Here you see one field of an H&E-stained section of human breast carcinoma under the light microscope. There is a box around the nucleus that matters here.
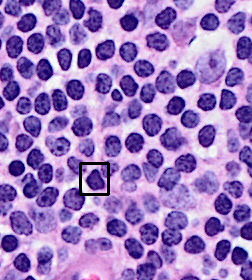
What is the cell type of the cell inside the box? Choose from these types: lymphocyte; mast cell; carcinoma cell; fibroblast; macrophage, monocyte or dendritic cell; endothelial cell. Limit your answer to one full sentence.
Recorded by type, the cell inside the box is a lymphocyte.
